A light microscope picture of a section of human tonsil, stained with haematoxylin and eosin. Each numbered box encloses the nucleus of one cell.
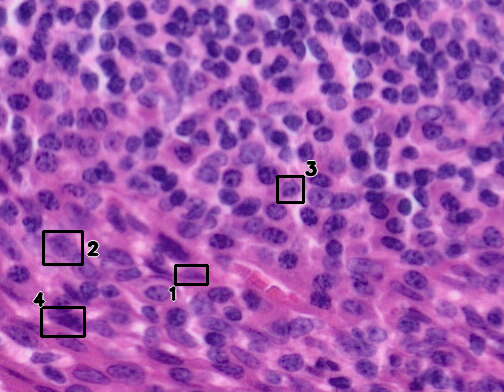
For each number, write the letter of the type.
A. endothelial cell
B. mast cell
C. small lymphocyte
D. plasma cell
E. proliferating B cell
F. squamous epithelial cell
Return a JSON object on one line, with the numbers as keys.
{"1": "F", "2": "F", "3": "D", "4": "F"}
